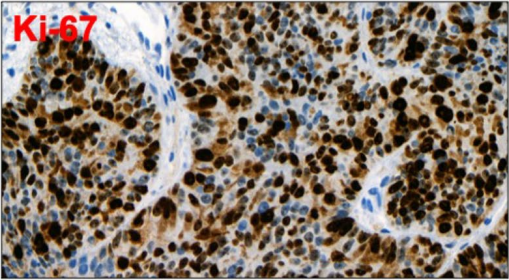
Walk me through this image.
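The tumour cells are crowded, with oval to elongated nuclei and little cytoplasm. A large majority of the tumour nuclei are stained dark brown, many intensely, while only a minority remain blue. The stromal strands between the nests hold slender spindle-shaped cells whose nuclei are blue and unstained, making a clear contrast with the brown-crowded nests on either side.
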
